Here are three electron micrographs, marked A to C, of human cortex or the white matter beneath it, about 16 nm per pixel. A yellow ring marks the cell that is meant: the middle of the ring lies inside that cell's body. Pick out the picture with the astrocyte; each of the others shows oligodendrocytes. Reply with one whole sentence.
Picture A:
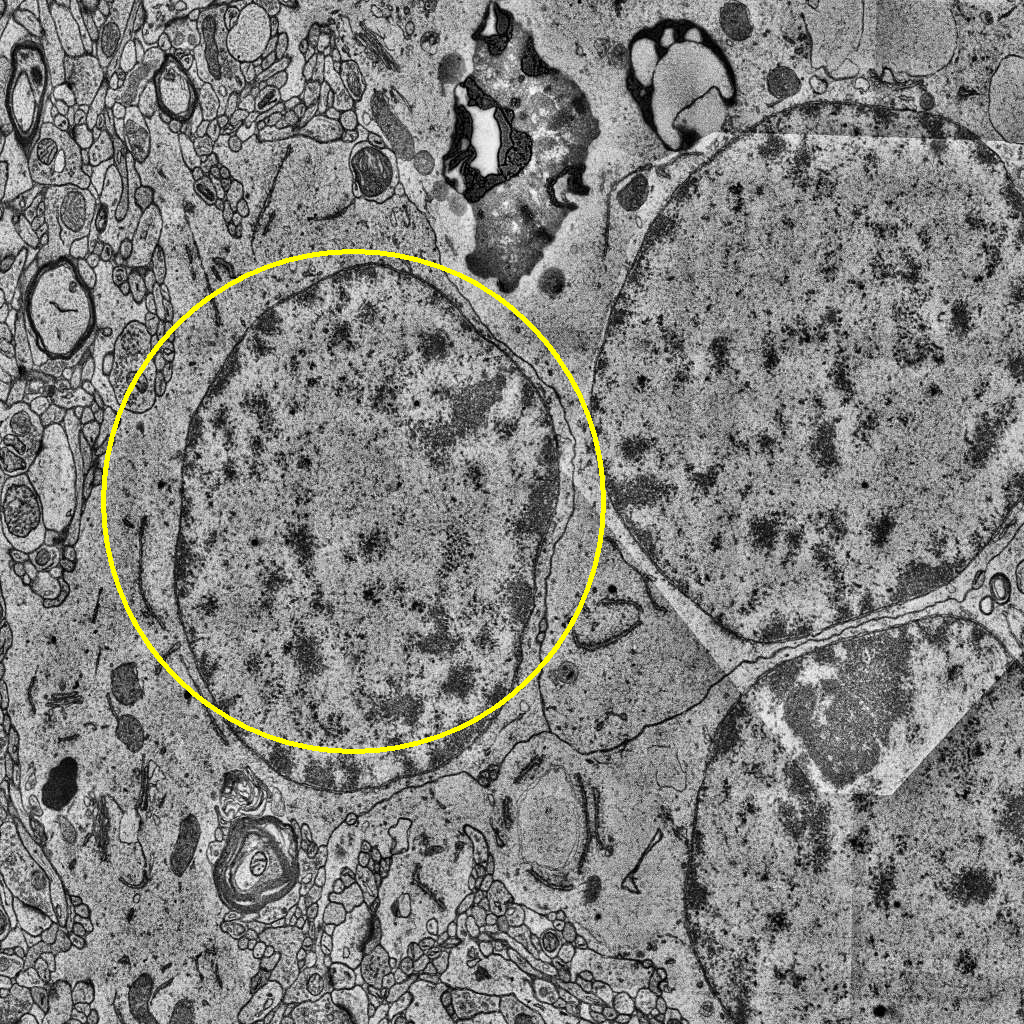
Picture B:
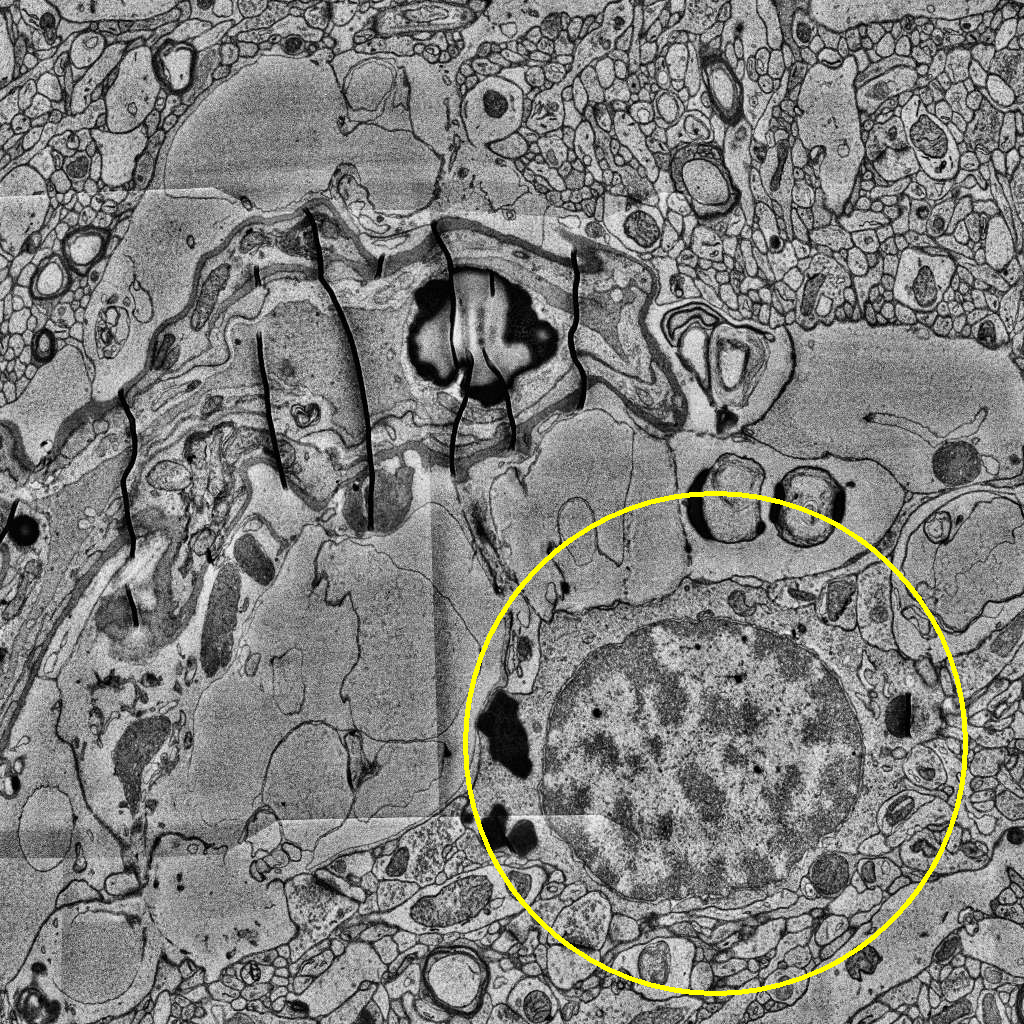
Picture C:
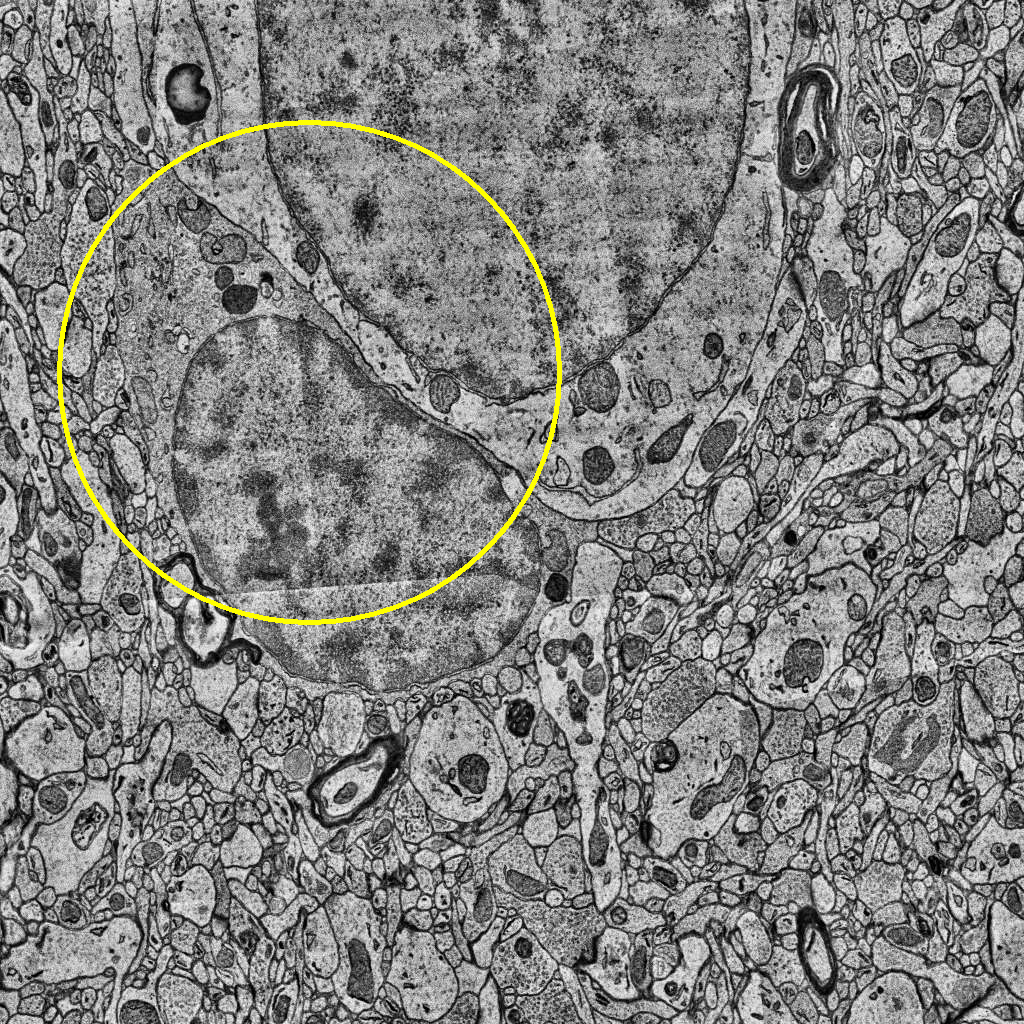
The astrocyte is the one in picture A.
